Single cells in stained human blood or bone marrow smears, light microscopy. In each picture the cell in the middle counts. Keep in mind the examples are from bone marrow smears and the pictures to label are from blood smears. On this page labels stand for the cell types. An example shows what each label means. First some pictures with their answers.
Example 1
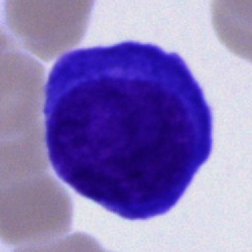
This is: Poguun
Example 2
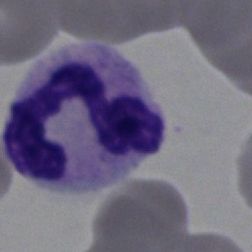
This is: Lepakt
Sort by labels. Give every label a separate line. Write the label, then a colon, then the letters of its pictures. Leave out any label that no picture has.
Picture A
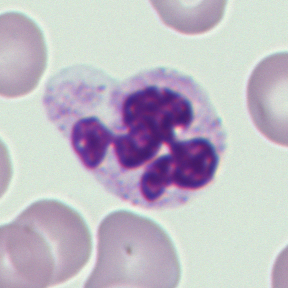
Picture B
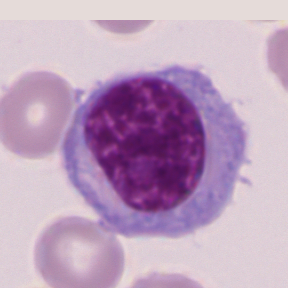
Poguun: B
Lepakt: A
